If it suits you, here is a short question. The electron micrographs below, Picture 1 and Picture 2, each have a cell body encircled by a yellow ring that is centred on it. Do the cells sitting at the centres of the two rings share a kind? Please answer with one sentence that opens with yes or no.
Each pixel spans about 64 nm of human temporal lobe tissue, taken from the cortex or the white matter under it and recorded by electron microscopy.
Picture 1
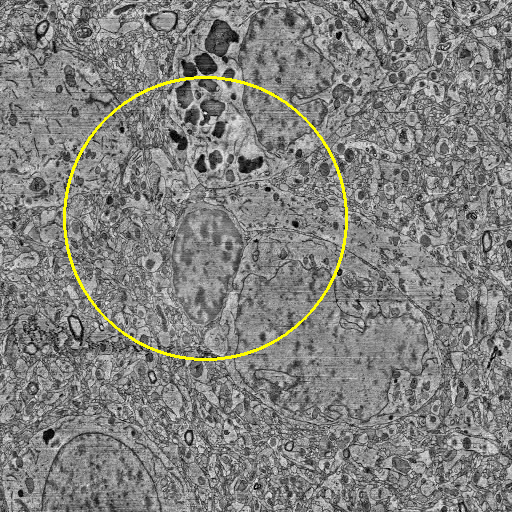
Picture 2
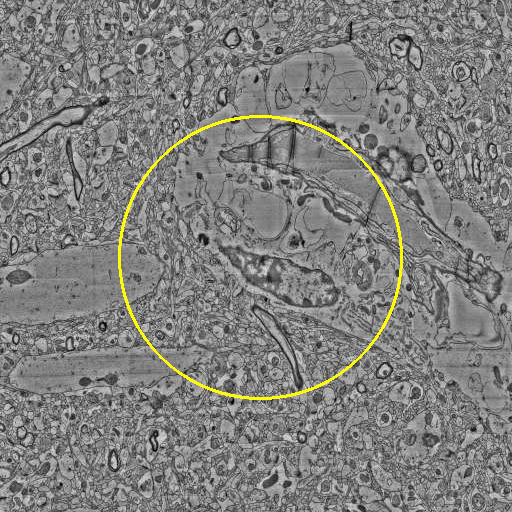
No, the two cells sitting at the ring centres fall into two kinds.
